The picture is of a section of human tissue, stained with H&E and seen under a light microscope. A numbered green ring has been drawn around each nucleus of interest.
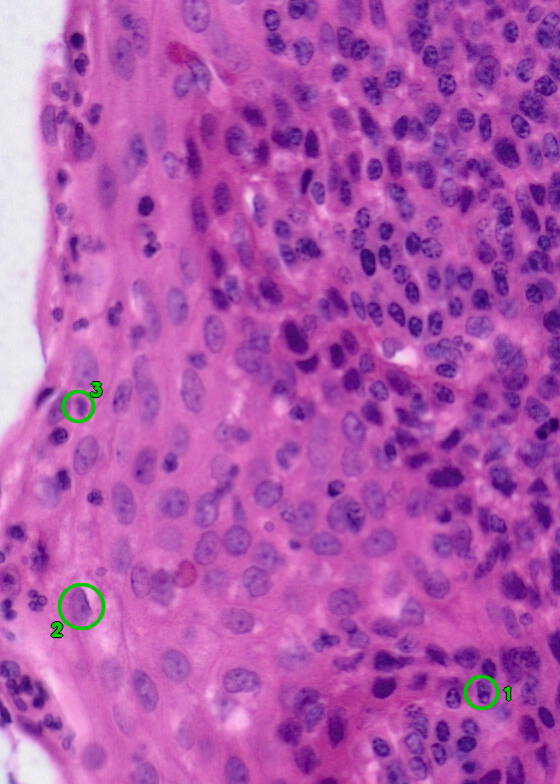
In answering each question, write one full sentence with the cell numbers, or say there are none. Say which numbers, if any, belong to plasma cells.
In this set of numbered cells, only cell 1 is a plasma cell.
